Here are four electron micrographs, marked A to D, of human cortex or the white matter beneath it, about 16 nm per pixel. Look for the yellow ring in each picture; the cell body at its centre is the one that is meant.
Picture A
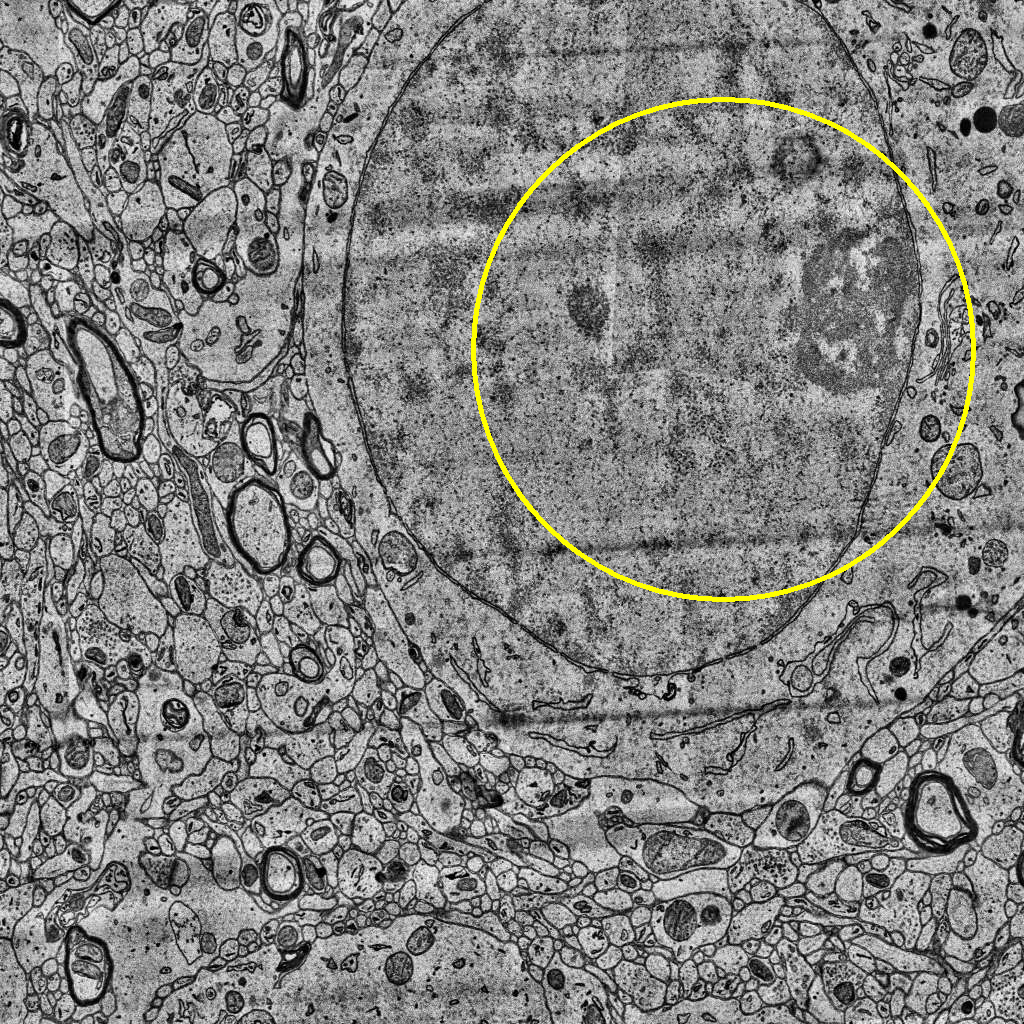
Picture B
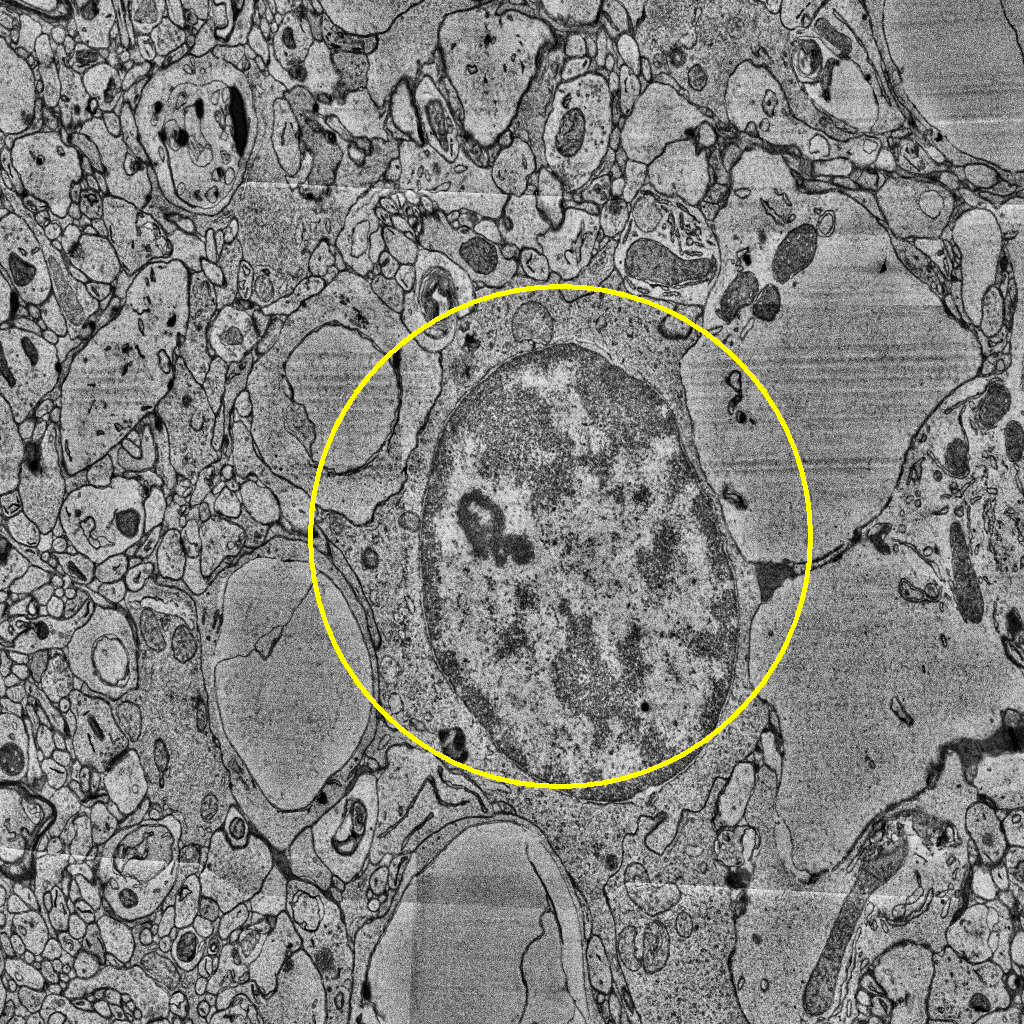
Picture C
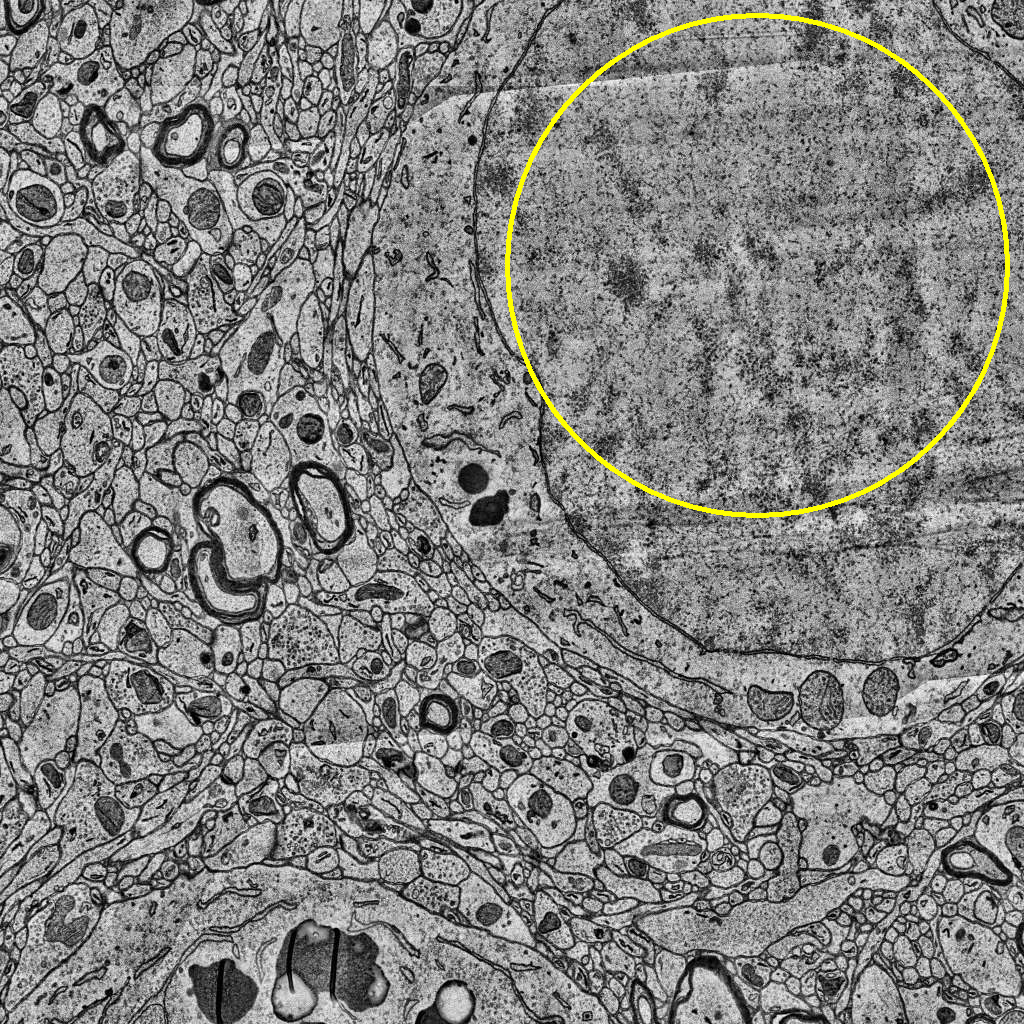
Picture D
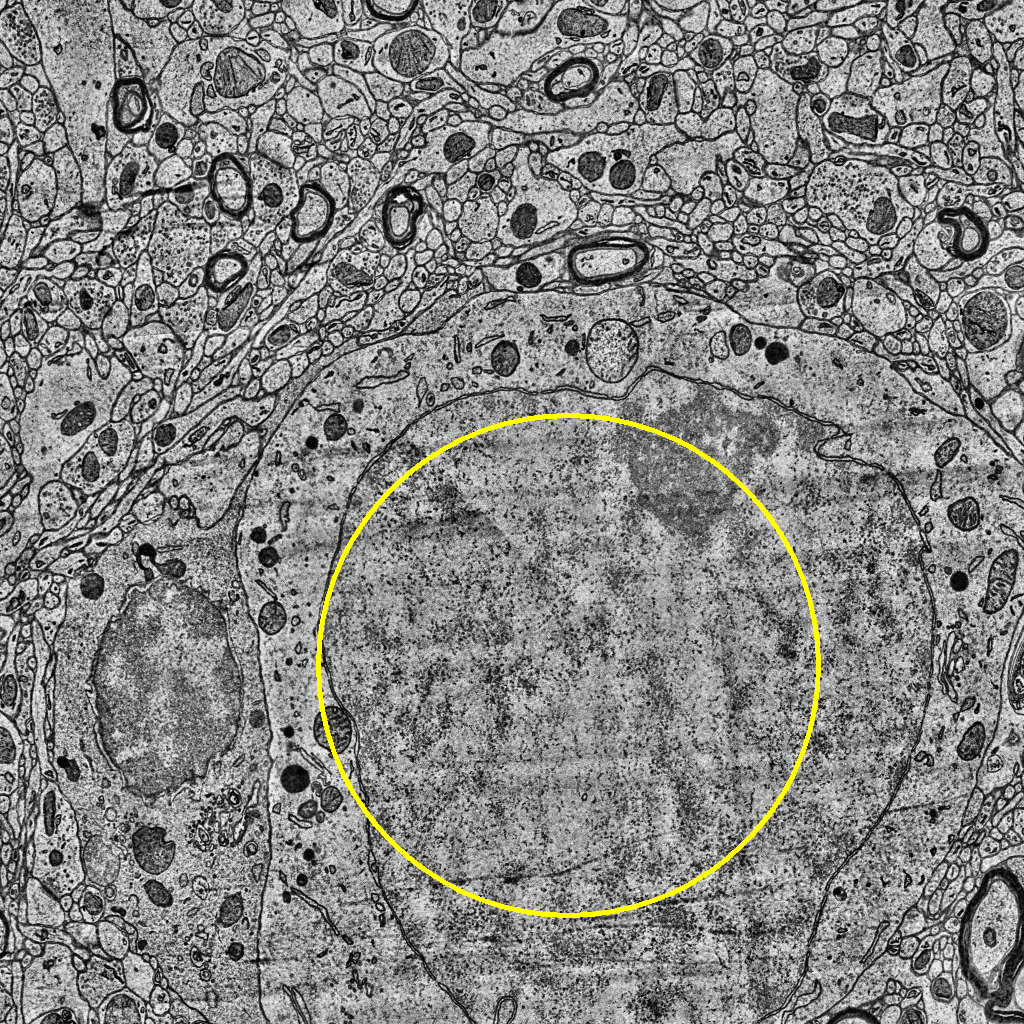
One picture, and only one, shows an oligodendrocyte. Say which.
Picture B is the one that shows the oligodendrocyte.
